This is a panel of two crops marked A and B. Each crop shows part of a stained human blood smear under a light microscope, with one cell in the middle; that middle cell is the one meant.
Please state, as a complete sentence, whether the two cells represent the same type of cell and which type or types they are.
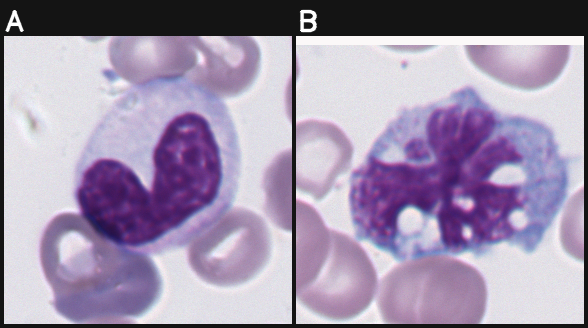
No, crop A matches a band neutrophil and crop B matches a monocyte.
